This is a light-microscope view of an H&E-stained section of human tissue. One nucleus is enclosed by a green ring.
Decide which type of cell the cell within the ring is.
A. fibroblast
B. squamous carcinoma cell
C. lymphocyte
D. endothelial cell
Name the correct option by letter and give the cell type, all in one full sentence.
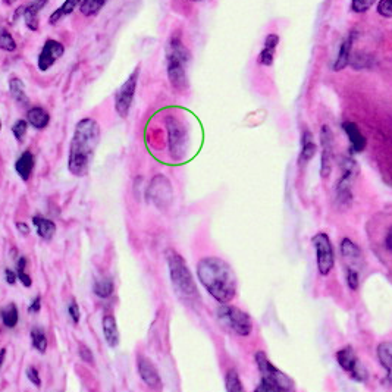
The right pick is option D; the cell within the ring is an endothelial cell.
